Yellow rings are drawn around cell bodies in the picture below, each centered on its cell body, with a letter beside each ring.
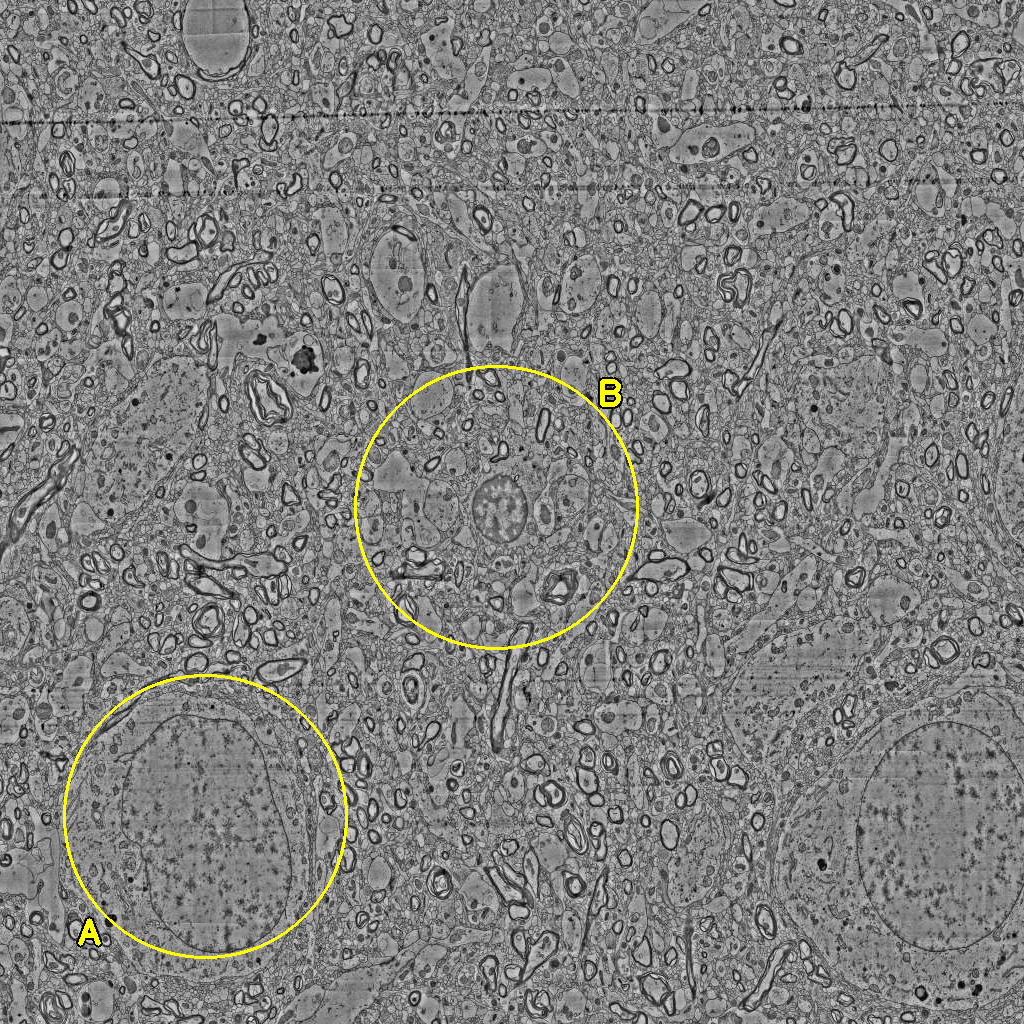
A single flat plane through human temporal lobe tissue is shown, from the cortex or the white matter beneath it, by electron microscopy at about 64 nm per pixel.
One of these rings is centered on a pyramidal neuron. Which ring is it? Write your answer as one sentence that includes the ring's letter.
It is ring A.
